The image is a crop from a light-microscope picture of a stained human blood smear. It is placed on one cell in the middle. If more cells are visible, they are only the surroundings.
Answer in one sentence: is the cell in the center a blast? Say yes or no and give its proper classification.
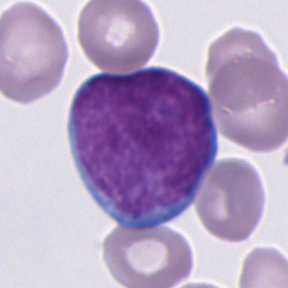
Yes, the central element of the crop is a blast.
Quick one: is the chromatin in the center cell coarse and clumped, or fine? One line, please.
Check the chromatin: it is fine and not coarsely clumped.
